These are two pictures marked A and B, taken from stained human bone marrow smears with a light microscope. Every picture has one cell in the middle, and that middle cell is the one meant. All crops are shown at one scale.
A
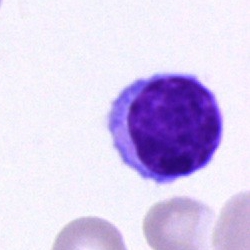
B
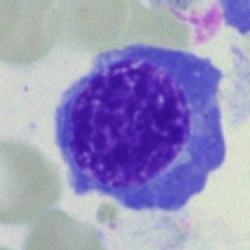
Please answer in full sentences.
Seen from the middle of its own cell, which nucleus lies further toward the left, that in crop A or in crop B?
The nucleus in crop B lies further toward the left of its cell.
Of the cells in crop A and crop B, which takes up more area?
Larger is the cell in crop B, at roughly 2 times the area of the other.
